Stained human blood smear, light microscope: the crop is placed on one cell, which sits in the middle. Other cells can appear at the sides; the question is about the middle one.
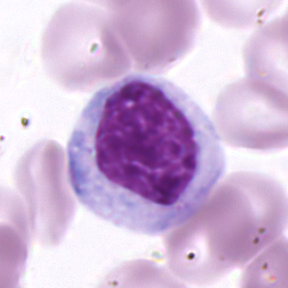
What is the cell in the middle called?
metamyelocyte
